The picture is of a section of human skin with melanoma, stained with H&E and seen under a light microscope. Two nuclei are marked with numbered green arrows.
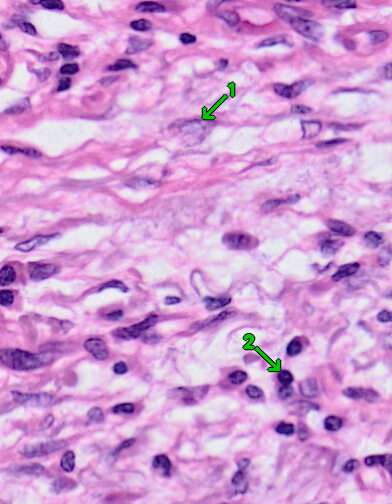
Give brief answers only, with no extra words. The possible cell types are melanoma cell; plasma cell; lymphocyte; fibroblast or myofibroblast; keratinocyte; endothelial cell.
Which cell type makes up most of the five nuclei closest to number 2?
plasma cell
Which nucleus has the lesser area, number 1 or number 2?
2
